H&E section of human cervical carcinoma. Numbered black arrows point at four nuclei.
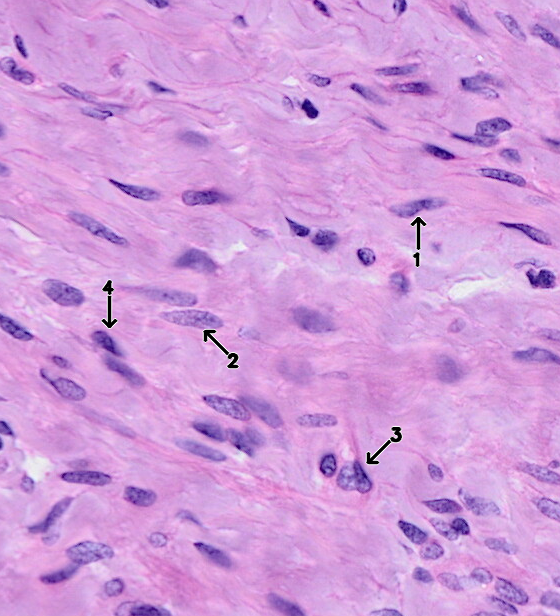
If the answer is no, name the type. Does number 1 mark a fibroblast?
Yes.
